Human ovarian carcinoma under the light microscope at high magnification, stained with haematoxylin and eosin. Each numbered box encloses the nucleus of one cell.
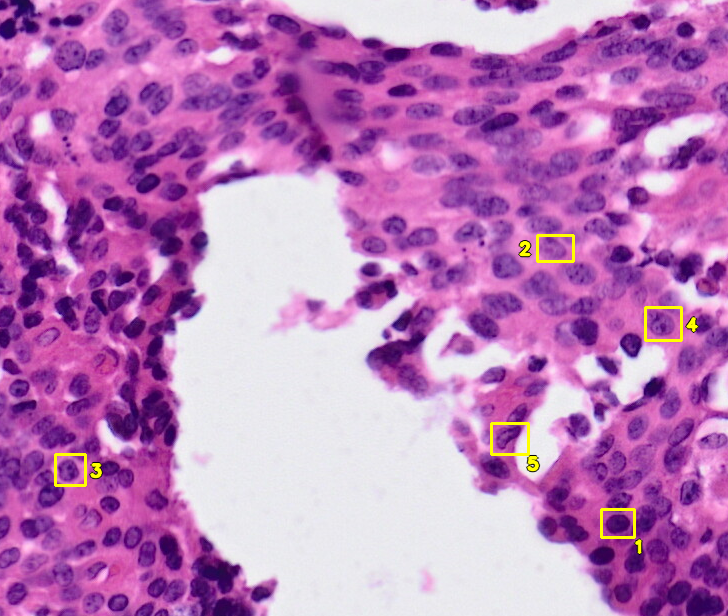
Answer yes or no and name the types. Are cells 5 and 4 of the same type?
No, classify cell 5 as a macrophage or monocyte and cell 4 as a carcinoma cell.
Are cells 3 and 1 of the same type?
No, cell number 3 is a macrophage or monocyte and cell number 1 is a carcinoma cell.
